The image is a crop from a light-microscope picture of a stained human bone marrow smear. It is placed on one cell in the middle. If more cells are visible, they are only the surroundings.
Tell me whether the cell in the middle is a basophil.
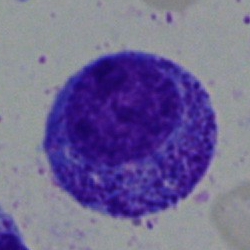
no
